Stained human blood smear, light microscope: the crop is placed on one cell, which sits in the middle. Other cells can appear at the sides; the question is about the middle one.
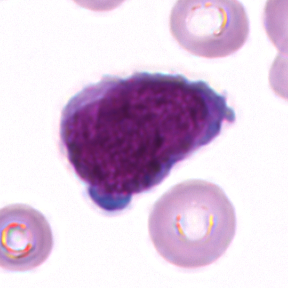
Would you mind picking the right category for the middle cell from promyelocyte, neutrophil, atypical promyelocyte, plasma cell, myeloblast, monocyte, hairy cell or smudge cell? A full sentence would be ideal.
In the crop, the cell of interest at the centre is an atypical promyelocyte.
